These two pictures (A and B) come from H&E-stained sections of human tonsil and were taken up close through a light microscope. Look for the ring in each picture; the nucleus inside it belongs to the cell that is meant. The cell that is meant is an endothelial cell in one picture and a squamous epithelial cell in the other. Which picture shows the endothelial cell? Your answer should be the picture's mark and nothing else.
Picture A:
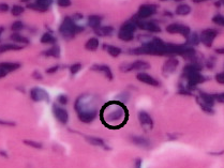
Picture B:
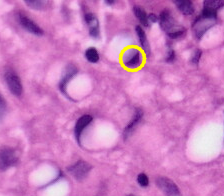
A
